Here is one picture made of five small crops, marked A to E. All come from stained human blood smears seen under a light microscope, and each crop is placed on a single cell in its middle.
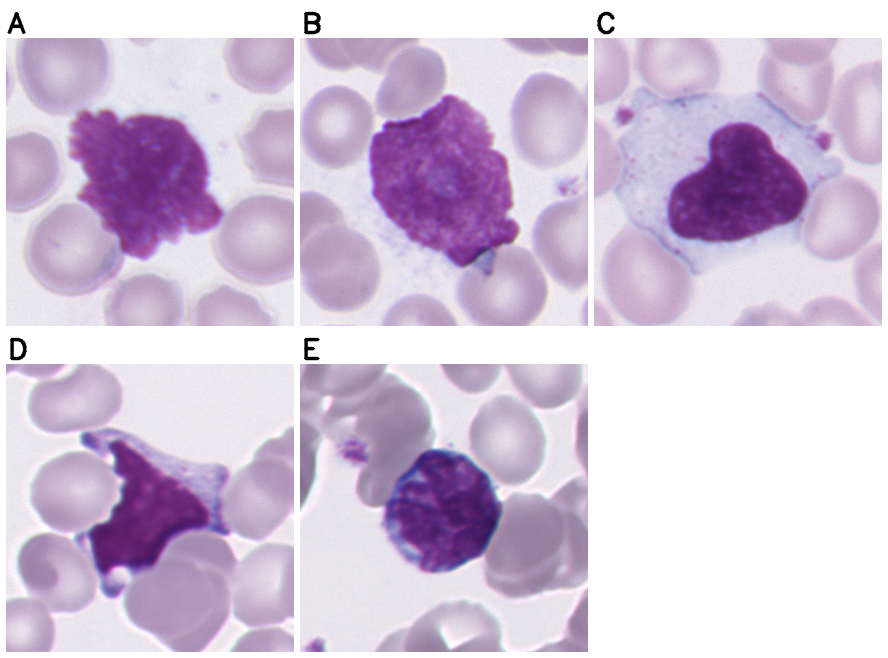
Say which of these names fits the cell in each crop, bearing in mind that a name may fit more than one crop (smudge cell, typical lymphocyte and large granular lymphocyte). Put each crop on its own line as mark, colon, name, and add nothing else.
A: smudge cell
B: smudge cell
C: large granular lymphocyte
D: large granular lymphocyte
E: typical lymphocyte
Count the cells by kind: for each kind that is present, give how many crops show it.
smudge cell: 2
large granular lymphocyte: 2
typical lymphocyte: 1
